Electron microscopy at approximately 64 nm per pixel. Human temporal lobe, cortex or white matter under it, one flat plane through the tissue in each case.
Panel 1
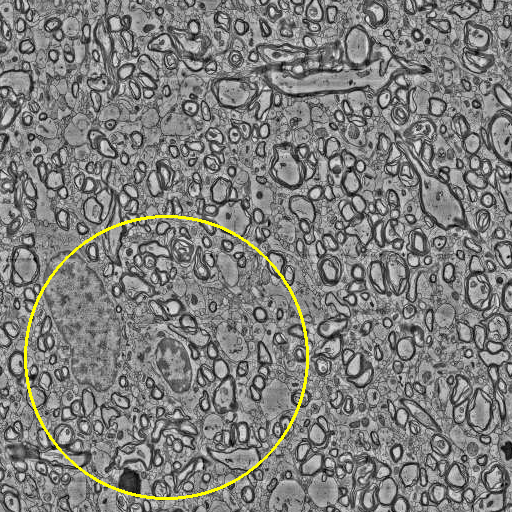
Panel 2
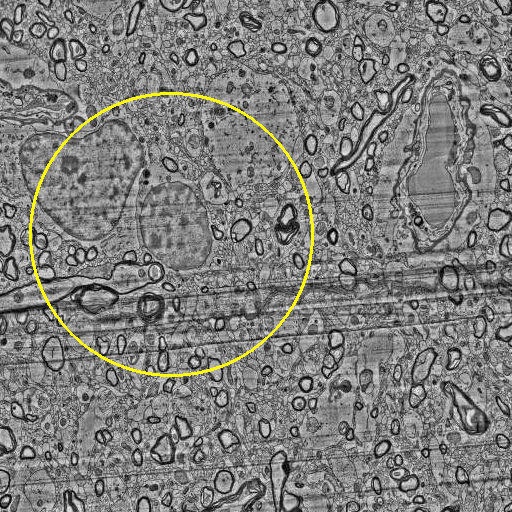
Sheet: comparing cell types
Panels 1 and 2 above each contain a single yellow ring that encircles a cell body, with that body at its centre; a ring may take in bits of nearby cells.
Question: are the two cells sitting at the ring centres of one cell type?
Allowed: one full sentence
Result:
No, the ring-centre cells in Panel 1 and Panel 2 are of two types.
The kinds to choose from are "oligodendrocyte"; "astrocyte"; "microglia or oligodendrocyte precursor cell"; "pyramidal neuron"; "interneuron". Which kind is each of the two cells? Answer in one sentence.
Of the two, the first cell is a microglial cell or oligodendrocyte precursor cell and the second cell is an oligodendrocyte.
